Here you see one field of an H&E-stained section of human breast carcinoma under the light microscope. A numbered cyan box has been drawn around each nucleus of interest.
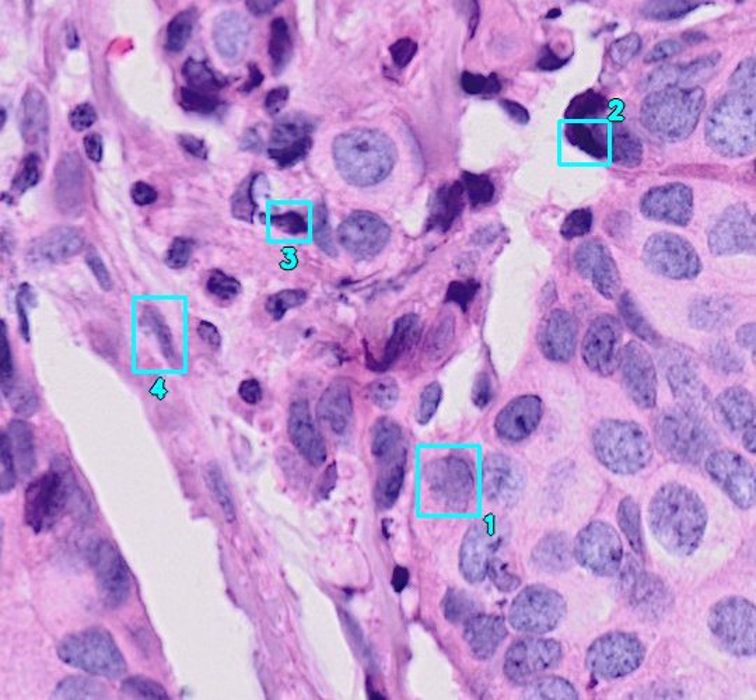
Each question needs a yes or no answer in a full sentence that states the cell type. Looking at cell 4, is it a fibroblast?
Yes, the cell corresponding to number 4 is a fibroblast.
